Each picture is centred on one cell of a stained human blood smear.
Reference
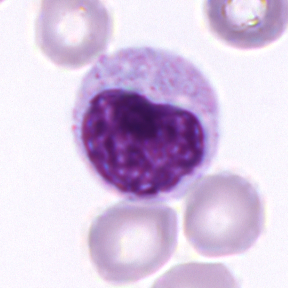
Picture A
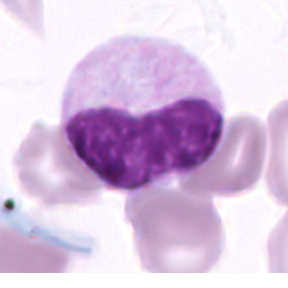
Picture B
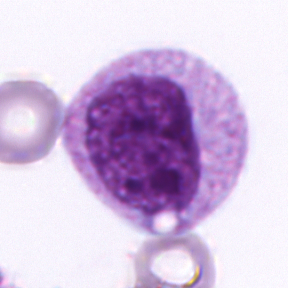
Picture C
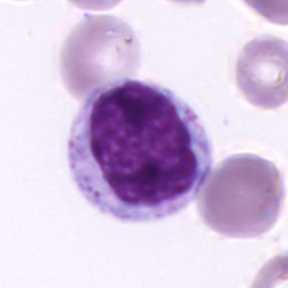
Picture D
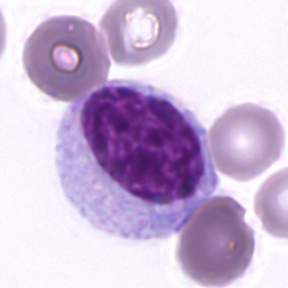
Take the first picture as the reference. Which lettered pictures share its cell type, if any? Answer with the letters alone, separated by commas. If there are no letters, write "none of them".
A, C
